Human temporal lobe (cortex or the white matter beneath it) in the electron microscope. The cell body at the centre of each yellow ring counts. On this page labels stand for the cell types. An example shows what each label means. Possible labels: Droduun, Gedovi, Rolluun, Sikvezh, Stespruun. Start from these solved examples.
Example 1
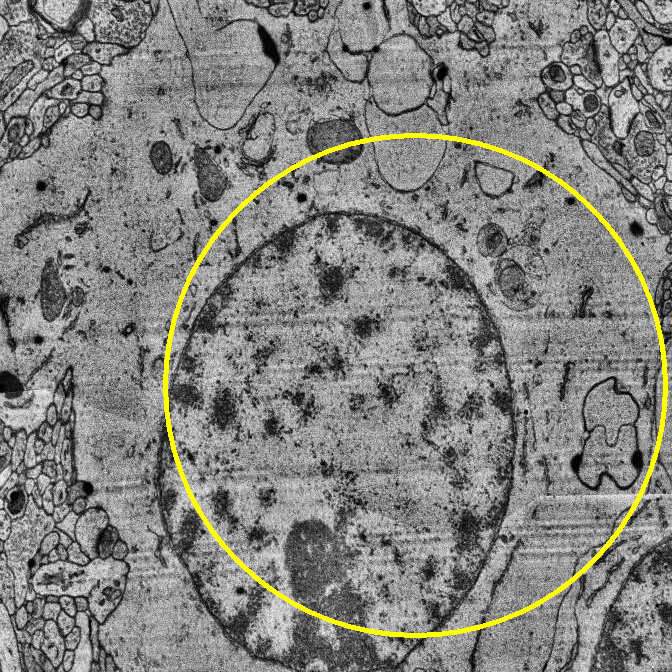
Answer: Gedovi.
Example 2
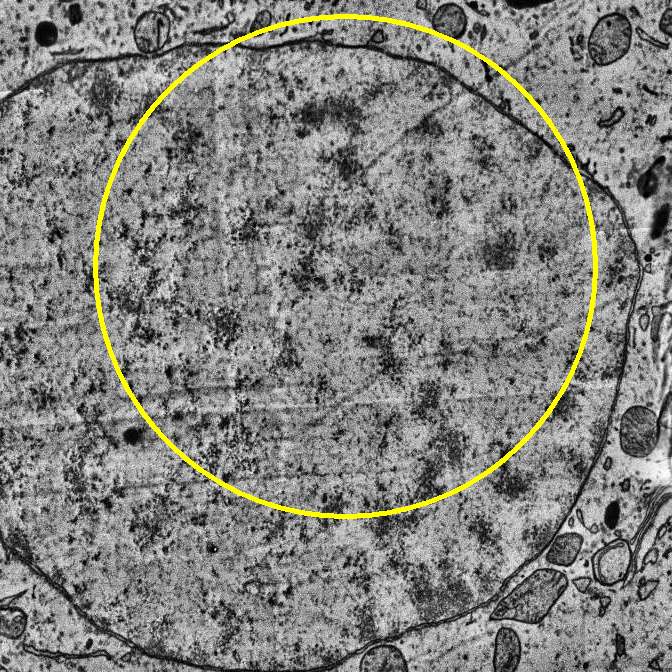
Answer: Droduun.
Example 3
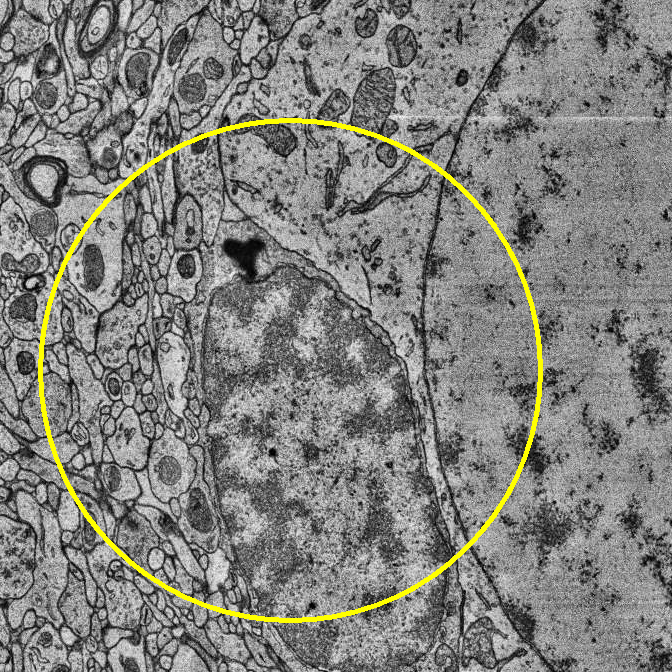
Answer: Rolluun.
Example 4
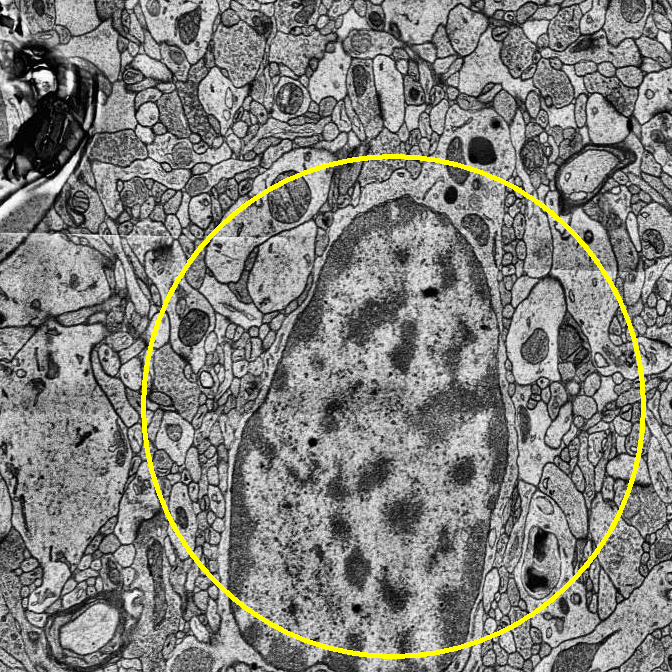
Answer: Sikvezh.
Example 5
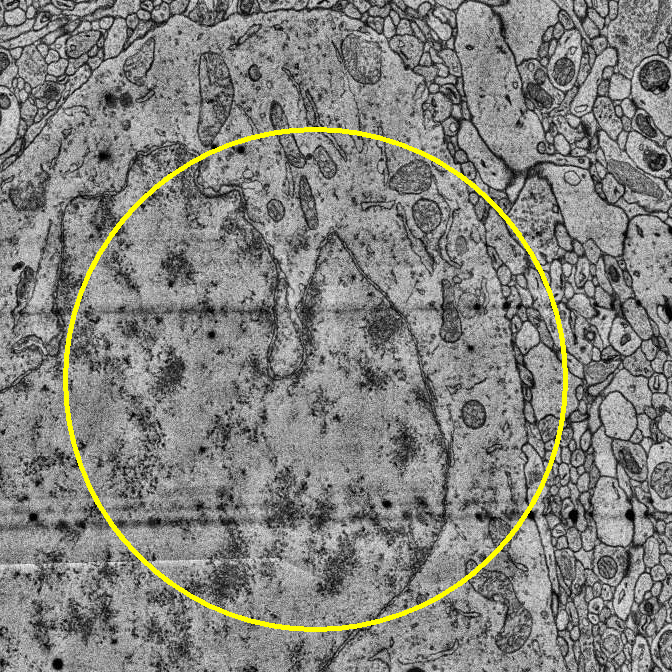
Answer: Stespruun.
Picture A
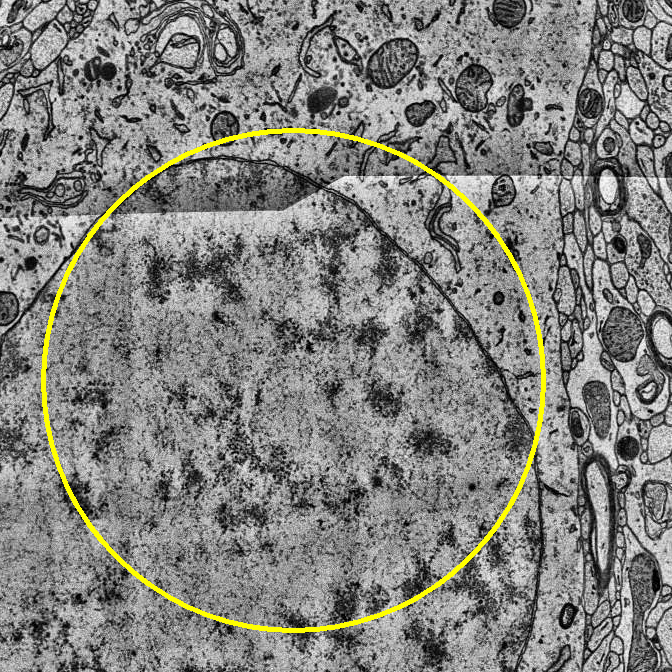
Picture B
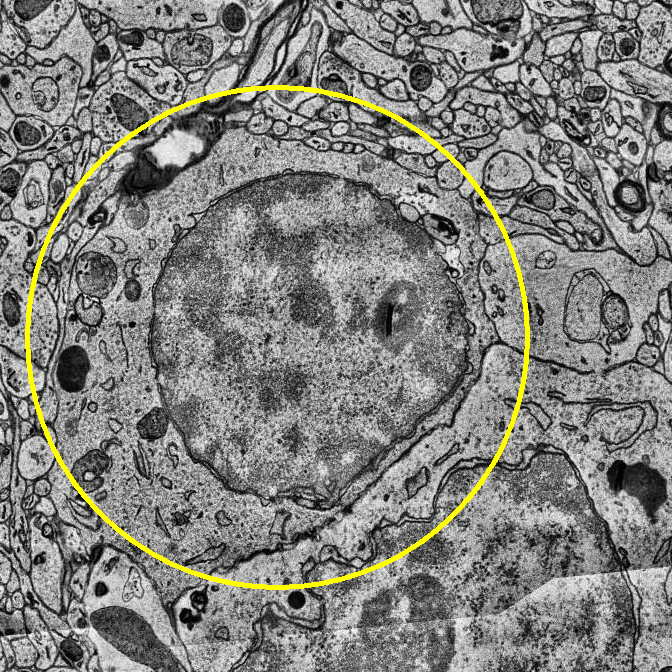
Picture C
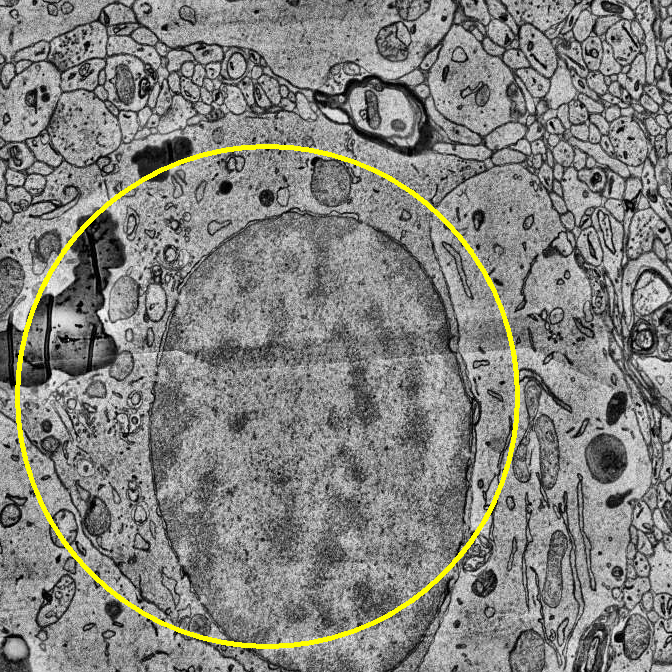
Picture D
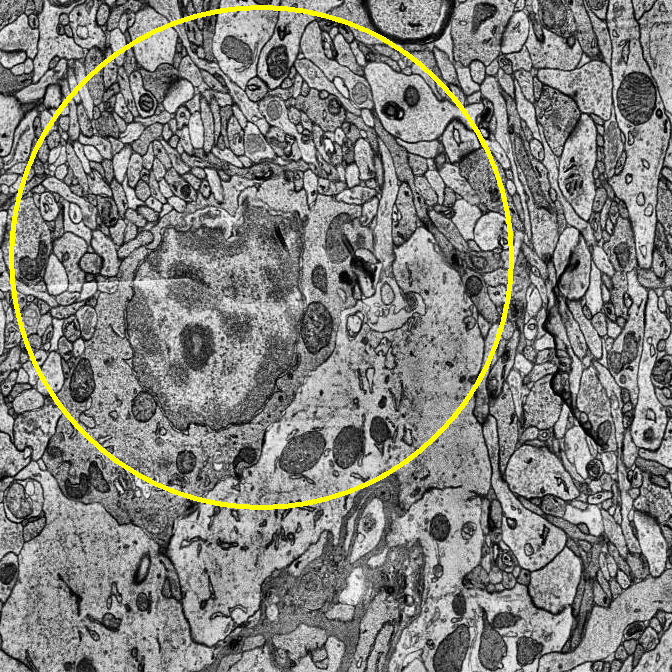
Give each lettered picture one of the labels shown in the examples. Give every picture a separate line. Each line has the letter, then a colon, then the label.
A: Droduun.
B: Rolluun.
C: Rolluun.
D: Rolluun.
